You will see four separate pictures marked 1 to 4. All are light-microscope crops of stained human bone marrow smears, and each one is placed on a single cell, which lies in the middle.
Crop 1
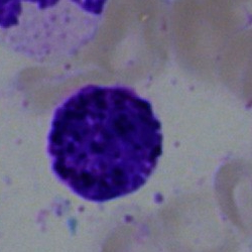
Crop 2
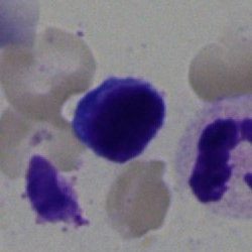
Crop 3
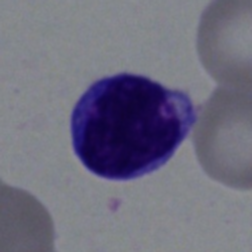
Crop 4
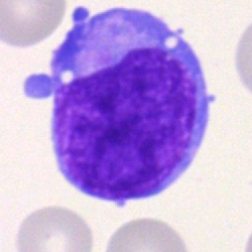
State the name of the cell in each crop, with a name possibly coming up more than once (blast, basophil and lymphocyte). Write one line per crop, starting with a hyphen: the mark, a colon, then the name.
- 1: basophil
- 2: lymphocyte
- 3: lymphocyte
- 4: blast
